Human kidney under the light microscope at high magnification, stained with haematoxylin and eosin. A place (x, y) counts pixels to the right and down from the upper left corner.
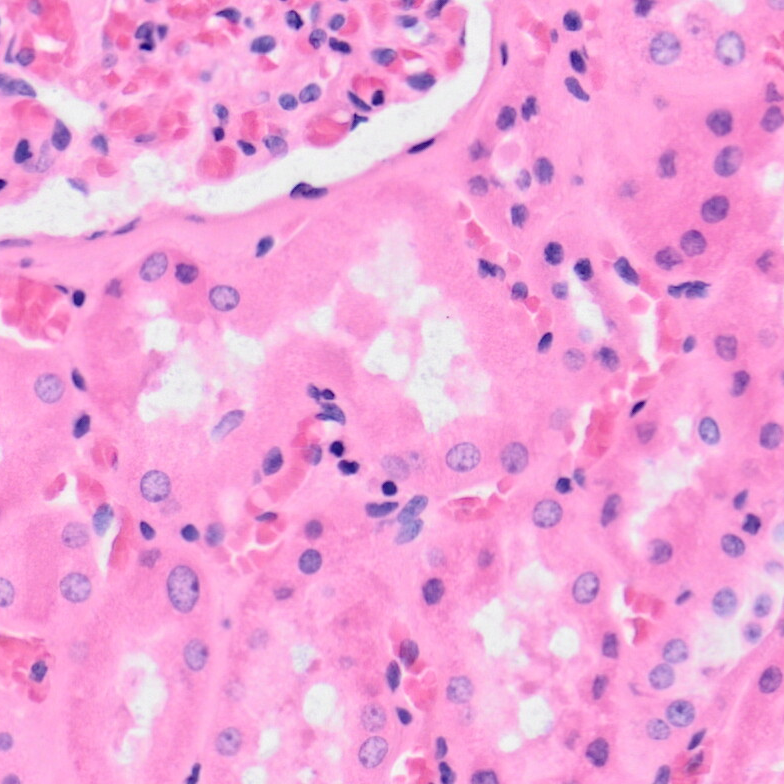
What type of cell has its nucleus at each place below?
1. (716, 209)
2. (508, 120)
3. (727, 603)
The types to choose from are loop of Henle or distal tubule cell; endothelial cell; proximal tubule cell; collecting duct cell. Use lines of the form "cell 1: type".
cell 1: proximal tubule cell
cell 2: loop of Henle or distal tubule cell
cell 3: loop of Henle or distal tubule cell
